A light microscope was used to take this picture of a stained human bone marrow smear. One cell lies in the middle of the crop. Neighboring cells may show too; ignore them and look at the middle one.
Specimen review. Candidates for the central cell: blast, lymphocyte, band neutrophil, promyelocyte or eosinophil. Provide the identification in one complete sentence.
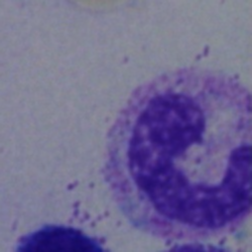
The cell sitting right in the middle is a band neutrophil.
